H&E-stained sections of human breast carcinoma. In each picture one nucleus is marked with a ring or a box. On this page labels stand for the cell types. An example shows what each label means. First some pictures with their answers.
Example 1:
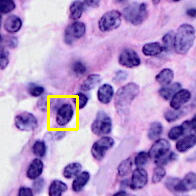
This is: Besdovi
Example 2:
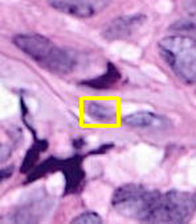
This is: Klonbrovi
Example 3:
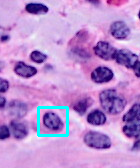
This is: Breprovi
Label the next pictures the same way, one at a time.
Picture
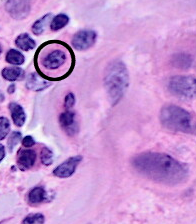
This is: Breprovi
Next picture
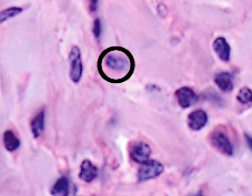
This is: Breprovi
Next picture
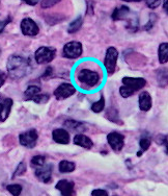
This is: Besdovi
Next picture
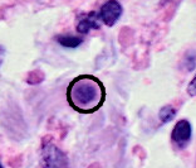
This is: Breprovi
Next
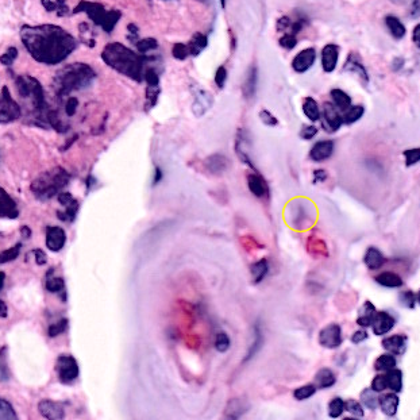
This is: Klonbrovi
